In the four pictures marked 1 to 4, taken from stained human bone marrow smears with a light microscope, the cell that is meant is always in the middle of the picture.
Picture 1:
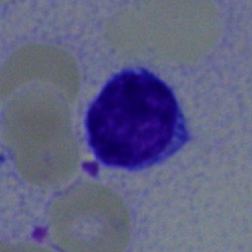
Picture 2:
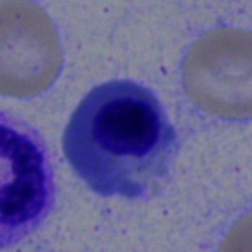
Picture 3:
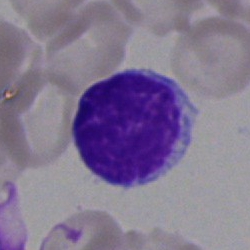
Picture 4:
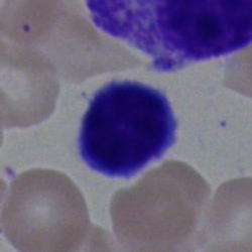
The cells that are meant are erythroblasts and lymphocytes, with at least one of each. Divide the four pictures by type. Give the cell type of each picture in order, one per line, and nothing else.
lymphocyte
erythroblast
lymphocyte
lymphocyte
